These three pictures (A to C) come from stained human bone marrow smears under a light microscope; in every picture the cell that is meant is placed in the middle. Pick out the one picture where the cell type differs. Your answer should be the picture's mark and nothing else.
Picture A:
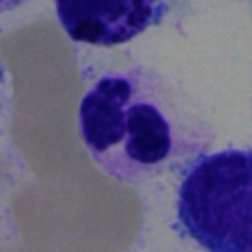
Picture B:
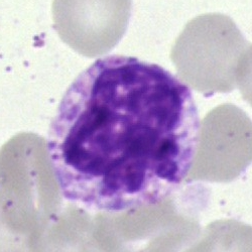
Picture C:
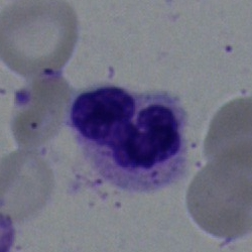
B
